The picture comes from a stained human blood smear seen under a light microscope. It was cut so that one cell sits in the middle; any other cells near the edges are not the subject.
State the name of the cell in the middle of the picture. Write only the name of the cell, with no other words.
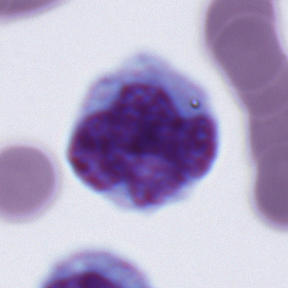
monocyte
